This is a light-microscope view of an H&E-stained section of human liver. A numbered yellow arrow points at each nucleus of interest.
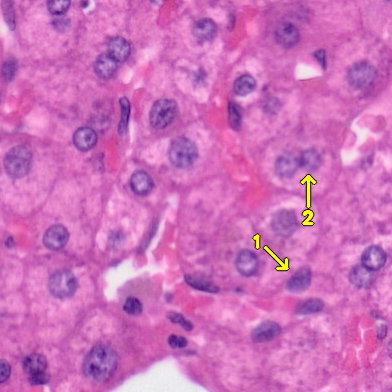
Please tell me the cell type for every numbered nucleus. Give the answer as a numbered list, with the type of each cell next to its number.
1. endothelial cell
2. hepatocyte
